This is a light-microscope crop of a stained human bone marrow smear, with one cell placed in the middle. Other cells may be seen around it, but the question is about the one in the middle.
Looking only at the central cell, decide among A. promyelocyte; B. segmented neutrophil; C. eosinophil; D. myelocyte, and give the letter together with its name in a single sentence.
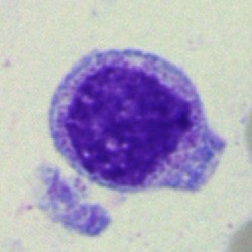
The central cell is a myelocyte, which makes option D the right answer.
